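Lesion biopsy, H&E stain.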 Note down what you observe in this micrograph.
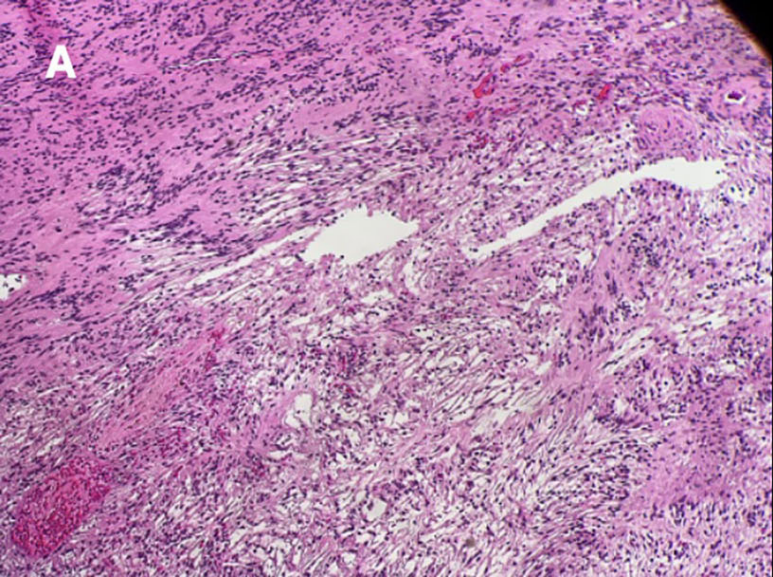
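This is a spindle cell tumour of nerve sheath type showing two kinds of tissue pattern, Antoni A and Antoni B. In the upper part the spindle cells are packed closely in fascicles with elongated nuclei, forming a dense, cellular area. In the lower part the tissue is looser and paler, with fewer, more scattered spindle cells in a loose, wispy background. Elongated slit-like spaces run between the two areas, and a few small blood vessels with red blood cells are seen. The contrast between the dense and the loose areas is the main feature of the field.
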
